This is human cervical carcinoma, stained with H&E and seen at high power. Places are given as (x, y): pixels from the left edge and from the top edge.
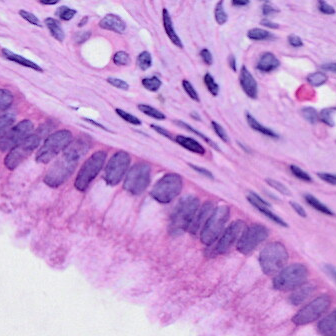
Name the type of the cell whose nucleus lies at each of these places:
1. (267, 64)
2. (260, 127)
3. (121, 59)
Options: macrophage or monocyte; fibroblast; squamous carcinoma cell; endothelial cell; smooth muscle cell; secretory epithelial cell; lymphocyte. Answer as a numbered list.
1. endothelial cell
2. fibroblast
3. endothelial cell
